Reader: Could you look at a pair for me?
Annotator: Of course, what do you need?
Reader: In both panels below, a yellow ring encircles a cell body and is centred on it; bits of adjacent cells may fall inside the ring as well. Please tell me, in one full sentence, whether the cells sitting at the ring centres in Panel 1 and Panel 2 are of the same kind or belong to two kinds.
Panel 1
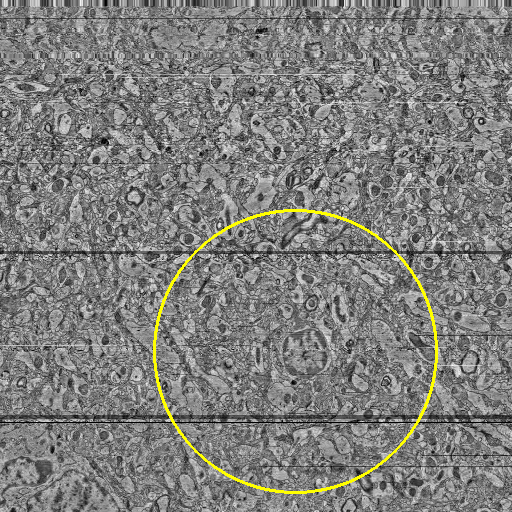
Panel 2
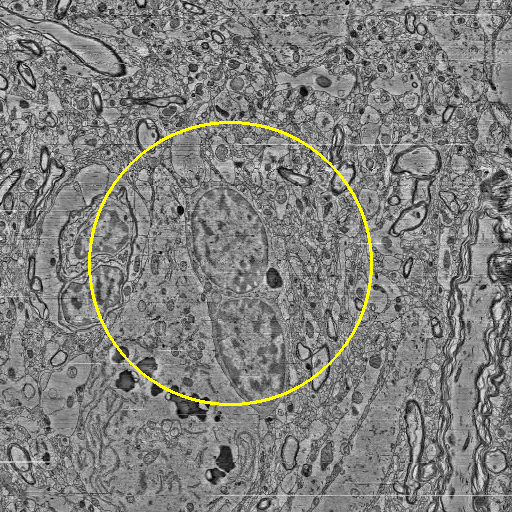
The cell at the ring's centre in Panel 1 and the one in Panel 2 belong to two kinds.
